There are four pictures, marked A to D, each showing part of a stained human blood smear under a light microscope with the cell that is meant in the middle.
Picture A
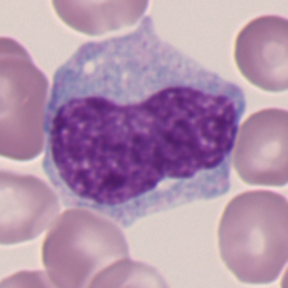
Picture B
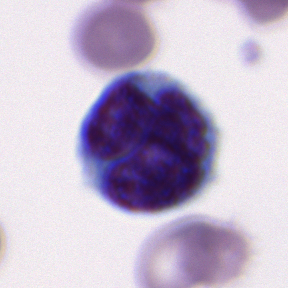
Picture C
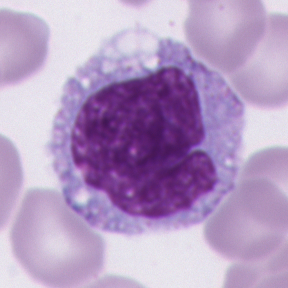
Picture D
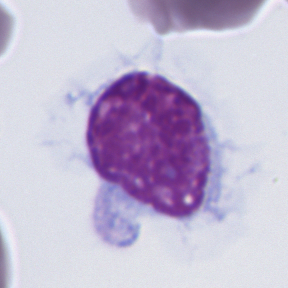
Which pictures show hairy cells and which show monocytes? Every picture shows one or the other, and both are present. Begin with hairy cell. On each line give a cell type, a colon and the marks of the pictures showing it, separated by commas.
hairy cell: D
monocyte: A, B, C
